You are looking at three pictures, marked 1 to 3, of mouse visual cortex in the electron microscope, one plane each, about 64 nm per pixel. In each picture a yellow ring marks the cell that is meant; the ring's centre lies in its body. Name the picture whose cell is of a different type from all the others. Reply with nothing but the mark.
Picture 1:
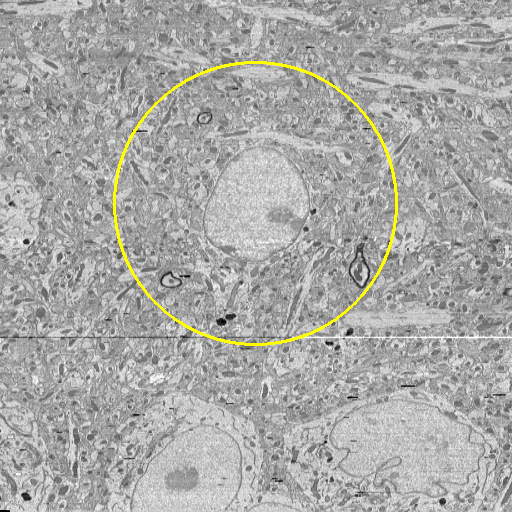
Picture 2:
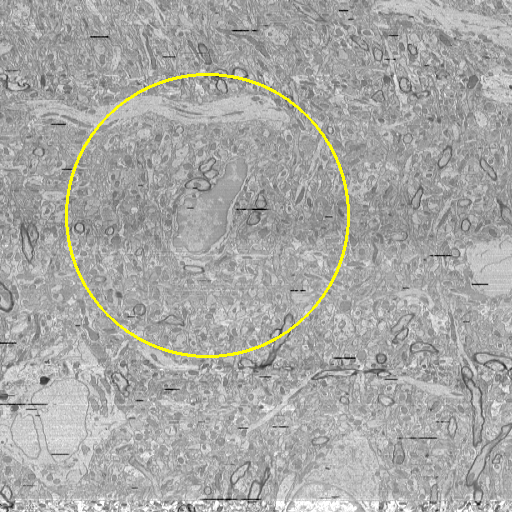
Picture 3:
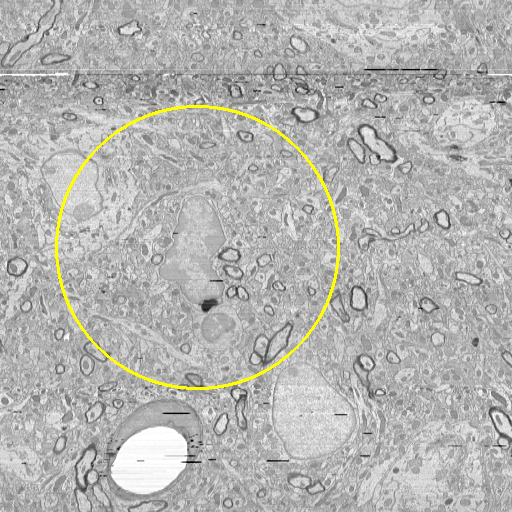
1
